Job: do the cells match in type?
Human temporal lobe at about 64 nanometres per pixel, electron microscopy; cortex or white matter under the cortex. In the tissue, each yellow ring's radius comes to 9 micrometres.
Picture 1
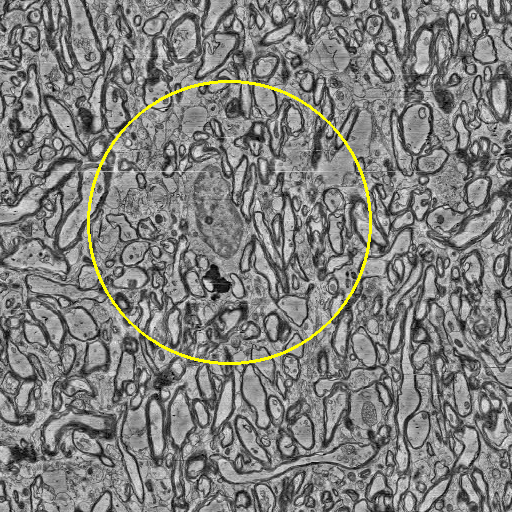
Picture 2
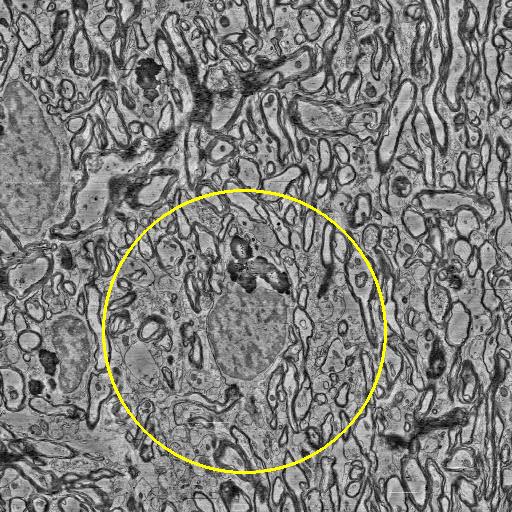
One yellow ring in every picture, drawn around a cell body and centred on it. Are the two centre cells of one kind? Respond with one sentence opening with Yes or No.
Yes, the ringed cells in the two pictures are of one and the same kind.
